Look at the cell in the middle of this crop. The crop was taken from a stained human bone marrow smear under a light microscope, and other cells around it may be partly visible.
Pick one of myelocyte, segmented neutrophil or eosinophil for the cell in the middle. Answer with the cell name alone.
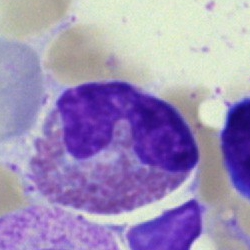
eosinophil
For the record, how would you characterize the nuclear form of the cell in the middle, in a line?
In this cell the nucleus is a solitary compact mass, round, oval or kidney-shaped.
